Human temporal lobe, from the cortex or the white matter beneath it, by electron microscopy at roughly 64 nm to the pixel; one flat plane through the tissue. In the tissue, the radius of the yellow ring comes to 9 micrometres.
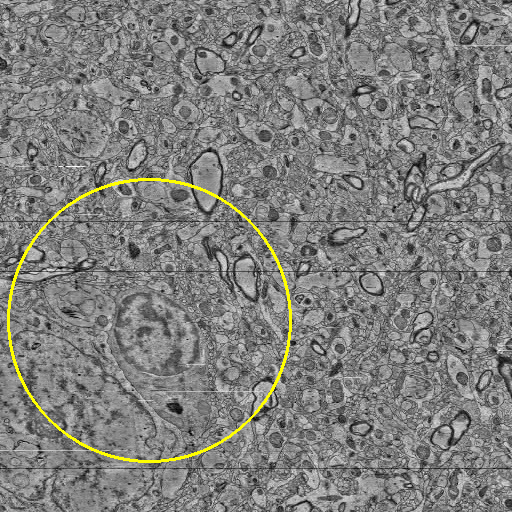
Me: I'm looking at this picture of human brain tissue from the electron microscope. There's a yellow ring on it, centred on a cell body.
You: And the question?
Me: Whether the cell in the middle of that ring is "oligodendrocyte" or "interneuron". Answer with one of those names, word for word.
oligodendrocyte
